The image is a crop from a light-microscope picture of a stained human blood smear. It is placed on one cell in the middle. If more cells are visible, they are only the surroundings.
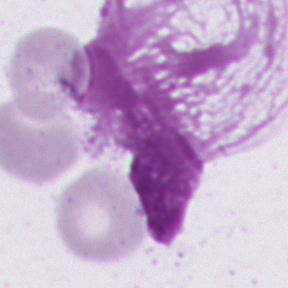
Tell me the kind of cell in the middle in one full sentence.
To answer, the cell in the center of the crop is a smudge cell.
